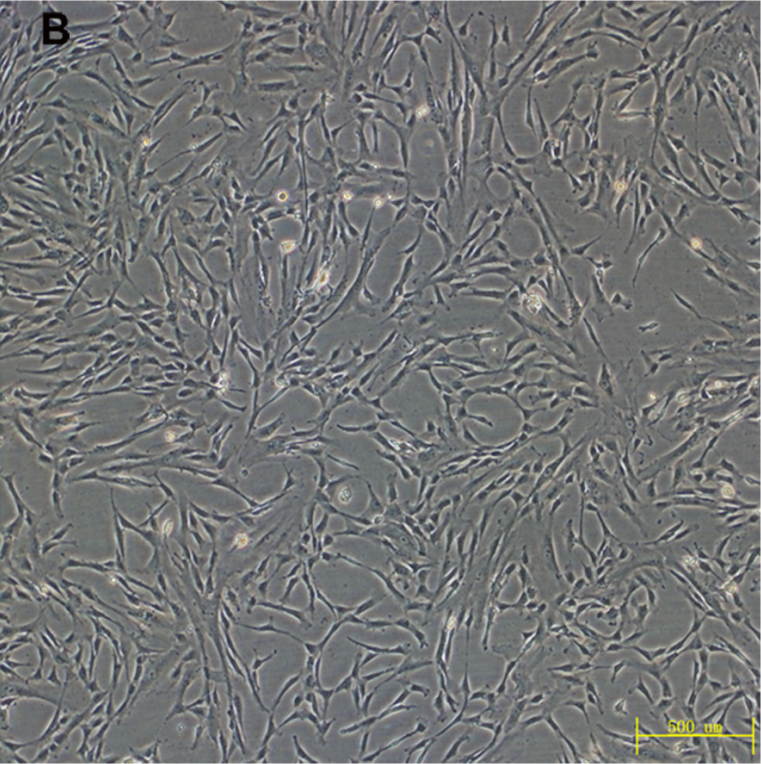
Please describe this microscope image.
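Most cells are spindle-shaped: elongated, with tapering ends and slender extensions at both poles. Some cells are broader and flatter. Scattered among the flat cells are a few small, round, bright, refractile cells that sit above the layer.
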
